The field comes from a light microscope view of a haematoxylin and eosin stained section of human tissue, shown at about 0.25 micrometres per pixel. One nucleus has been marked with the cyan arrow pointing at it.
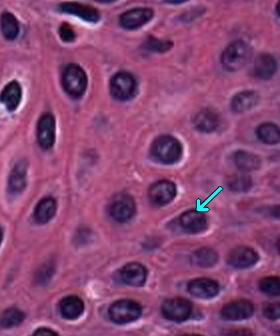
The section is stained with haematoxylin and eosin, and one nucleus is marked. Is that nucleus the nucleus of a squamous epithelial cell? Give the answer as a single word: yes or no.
yes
